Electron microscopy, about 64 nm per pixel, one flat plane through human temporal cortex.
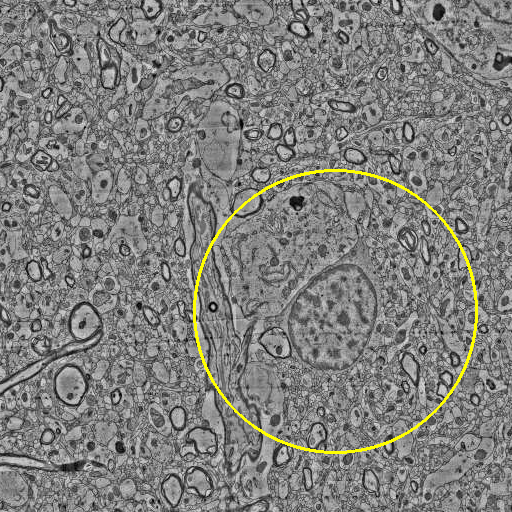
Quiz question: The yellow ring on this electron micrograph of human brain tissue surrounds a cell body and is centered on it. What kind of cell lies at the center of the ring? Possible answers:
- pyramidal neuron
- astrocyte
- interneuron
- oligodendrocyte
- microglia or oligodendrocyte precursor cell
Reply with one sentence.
The ring's center lies on an oligodendrocyte.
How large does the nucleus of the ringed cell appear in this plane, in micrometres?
The nucleus has a long axis of about 7 micrometres and a short axis of about 5 micrometres in this plane.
